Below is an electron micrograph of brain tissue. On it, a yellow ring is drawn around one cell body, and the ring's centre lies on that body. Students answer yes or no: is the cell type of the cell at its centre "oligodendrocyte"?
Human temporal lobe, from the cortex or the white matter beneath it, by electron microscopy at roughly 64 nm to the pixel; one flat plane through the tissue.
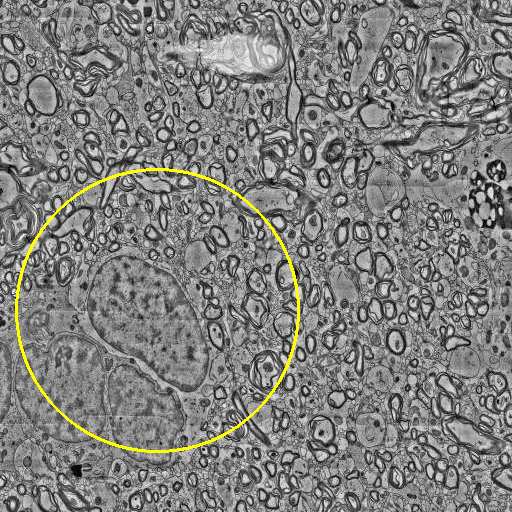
no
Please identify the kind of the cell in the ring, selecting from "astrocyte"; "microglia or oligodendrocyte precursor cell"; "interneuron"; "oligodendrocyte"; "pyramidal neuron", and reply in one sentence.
The ring's central cell is a microglial cell or oligodendrocyte precursor cell instead.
